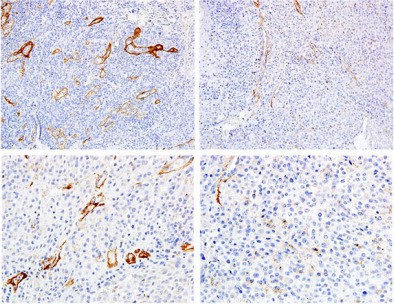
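These are tumor sections in which sheets of tightly packed tumor cells with blue-counterstained nuclei are crossed by blood vessels picked out in brown. The vessels appear as thin branching brown lines and small brown rings around open lumens, lying between the tumor cells. The upper images show the tissue at low power and the lower ones the same pattern closer up, where individual brown-rimmed vessel profiles can be seen.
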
